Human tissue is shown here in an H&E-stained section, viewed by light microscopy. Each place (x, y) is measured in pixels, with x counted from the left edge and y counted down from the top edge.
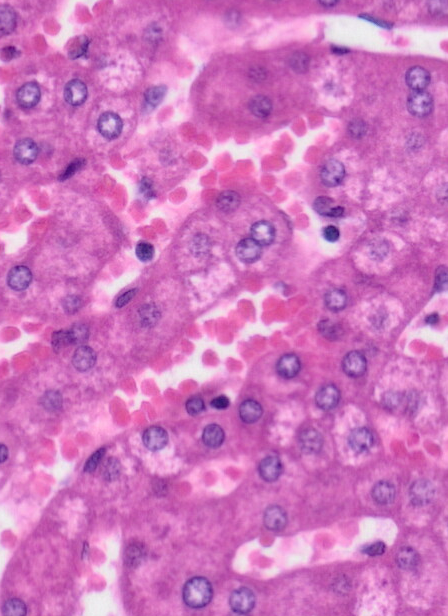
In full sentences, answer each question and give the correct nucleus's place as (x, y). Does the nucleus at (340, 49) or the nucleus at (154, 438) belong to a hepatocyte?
The nucleus at (154, 438) is the one of the two that belongs to a hepatocyte.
